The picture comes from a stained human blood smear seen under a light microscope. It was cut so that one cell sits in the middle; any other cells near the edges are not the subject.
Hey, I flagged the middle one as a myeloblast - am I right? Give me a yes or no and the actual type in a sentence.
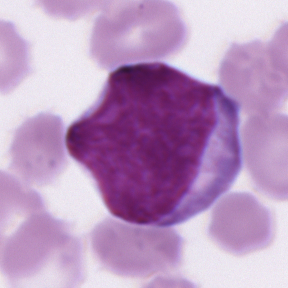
Yes, the middle cell of the field is a myeloblast.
